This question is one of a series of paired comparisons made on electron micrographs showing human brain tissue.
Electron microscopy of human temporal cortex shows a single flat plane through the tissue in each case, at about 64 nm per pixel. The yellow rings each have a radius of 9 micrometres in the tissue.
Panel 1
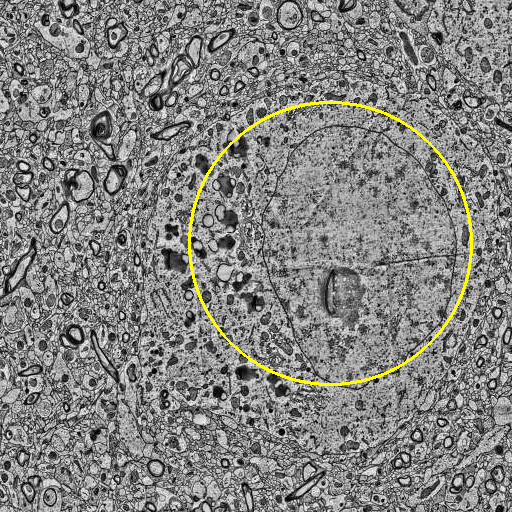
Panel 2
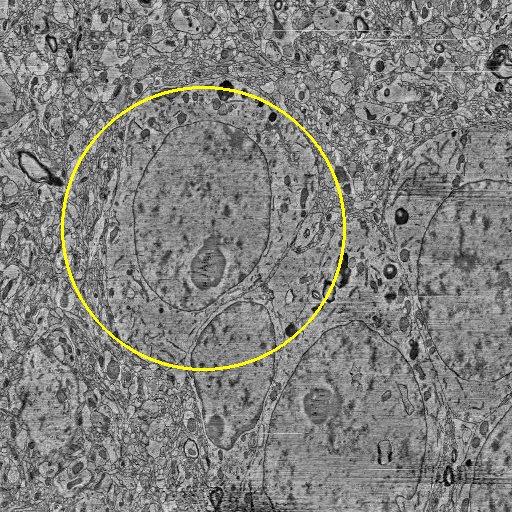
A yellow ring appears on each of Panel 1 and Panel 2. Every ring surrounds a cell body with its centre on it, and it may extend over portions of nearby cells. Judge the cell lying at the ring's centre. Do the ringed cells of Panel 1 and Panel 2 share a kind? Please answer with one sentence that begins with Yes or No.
Yes, the ring-centre cell in Panel 1 and the one in Panel 2 are of one kind.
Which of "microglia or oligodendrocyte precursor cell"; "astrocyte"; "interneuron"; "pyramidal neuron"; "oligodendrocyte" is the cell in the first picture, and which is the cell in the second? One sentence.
The ring centre holds a pyramidal neuron in each of the two pictures.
